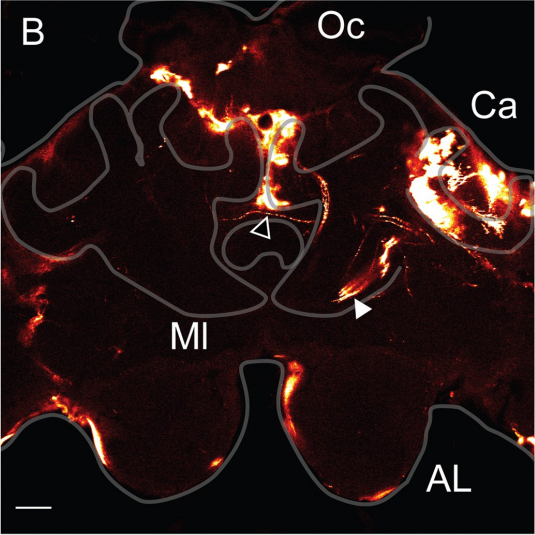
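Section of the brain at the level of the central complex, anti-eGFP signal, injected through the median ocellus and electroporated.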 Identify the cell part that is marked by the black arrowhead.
The axon of a neuron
